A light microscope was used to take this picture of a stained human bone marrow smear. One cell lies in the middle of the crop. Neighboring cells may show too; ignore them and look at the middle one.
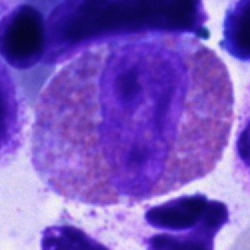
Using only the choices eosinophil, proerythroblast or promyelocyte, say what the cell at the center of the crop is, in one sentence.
In the center of this field lies an eosinophil.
